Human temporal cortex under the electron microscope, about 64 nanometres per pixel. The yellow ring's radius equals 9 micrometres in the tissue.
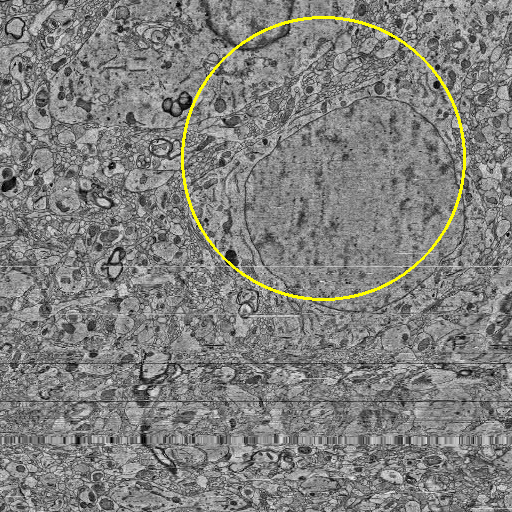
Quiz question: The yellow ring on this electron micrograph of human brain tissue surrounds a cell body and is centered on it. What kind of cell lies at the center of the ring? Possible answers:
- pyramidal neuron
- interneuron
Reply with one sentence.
The ring's center lies on a pyramidal neuron.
